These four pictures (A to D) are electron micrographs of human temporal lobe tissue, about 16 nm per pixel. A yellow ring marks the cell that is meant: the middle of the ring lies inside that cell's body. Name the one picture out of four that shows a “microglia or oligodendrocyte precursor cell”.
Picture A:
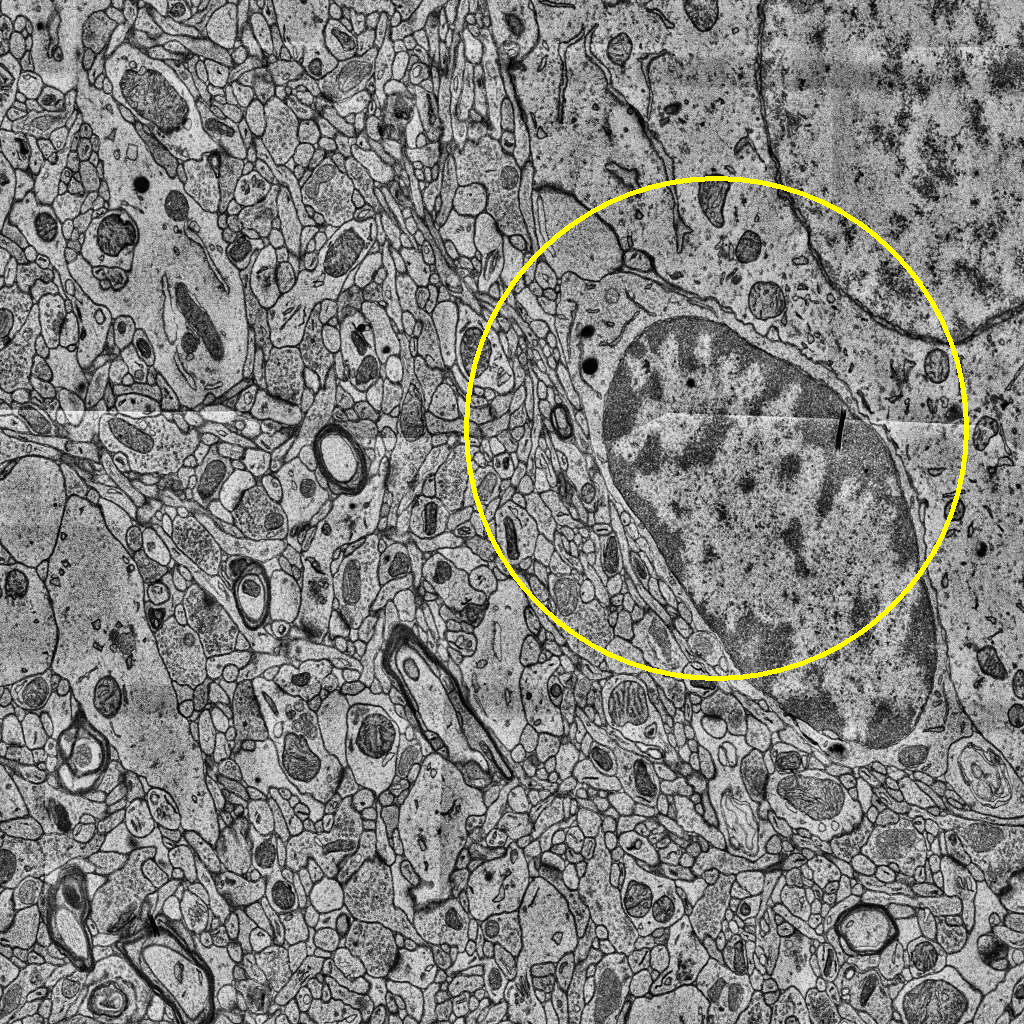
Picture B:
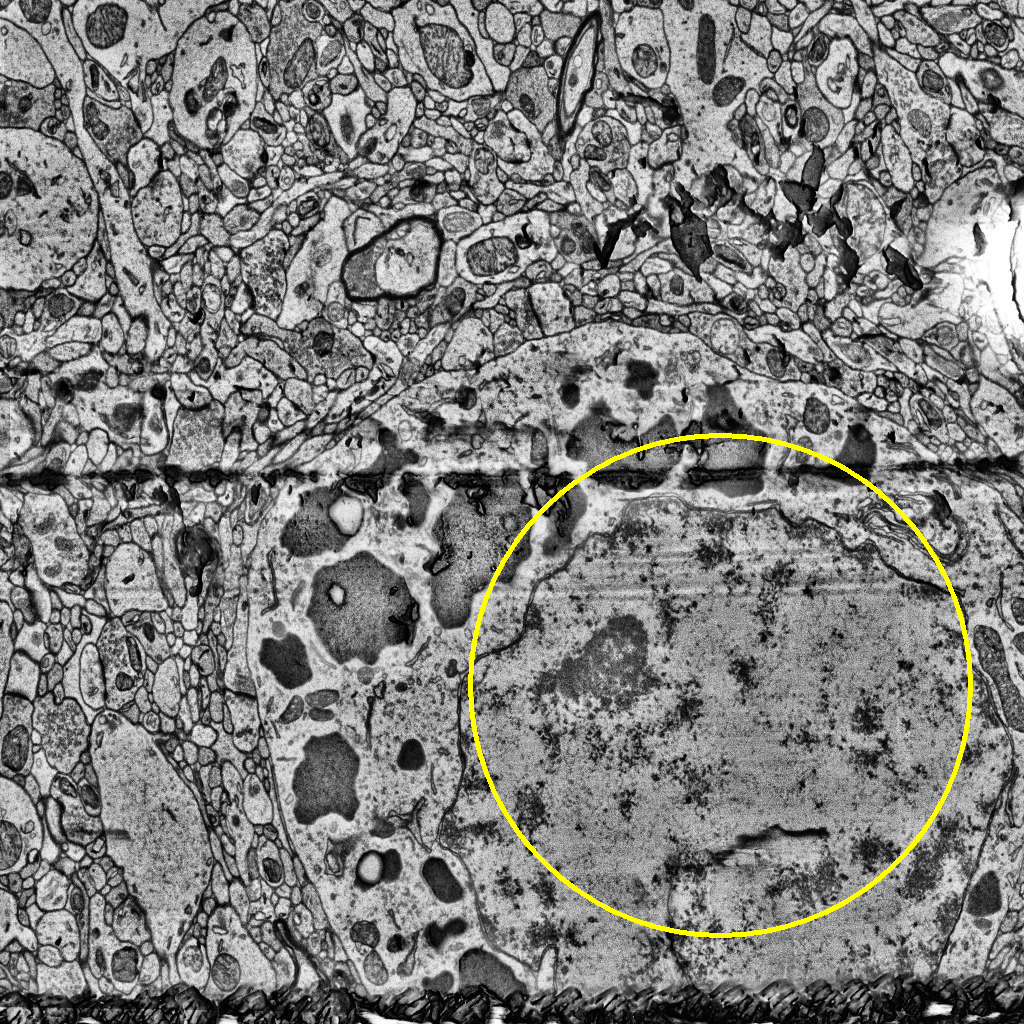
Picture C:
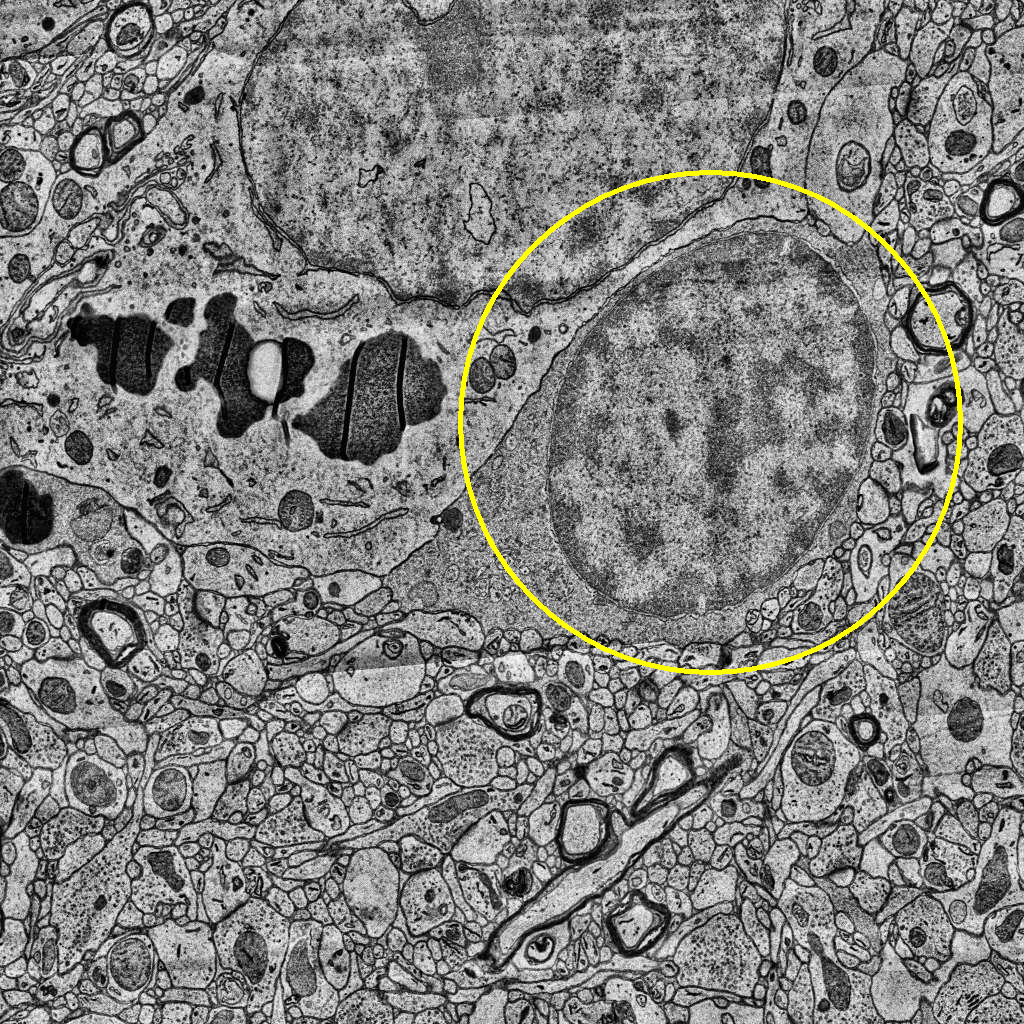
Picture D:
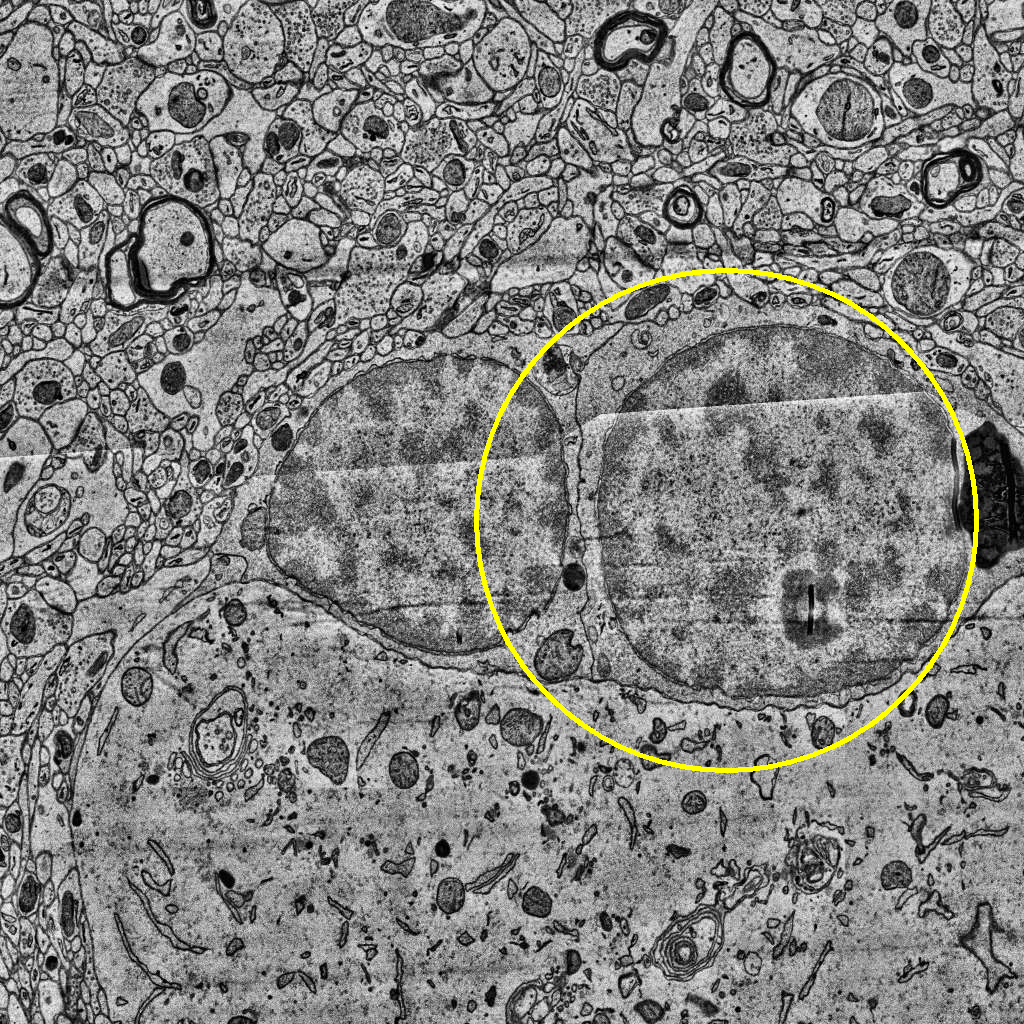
It is picture A that shows the “microglia or oligodendrocyte precursor cell”.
